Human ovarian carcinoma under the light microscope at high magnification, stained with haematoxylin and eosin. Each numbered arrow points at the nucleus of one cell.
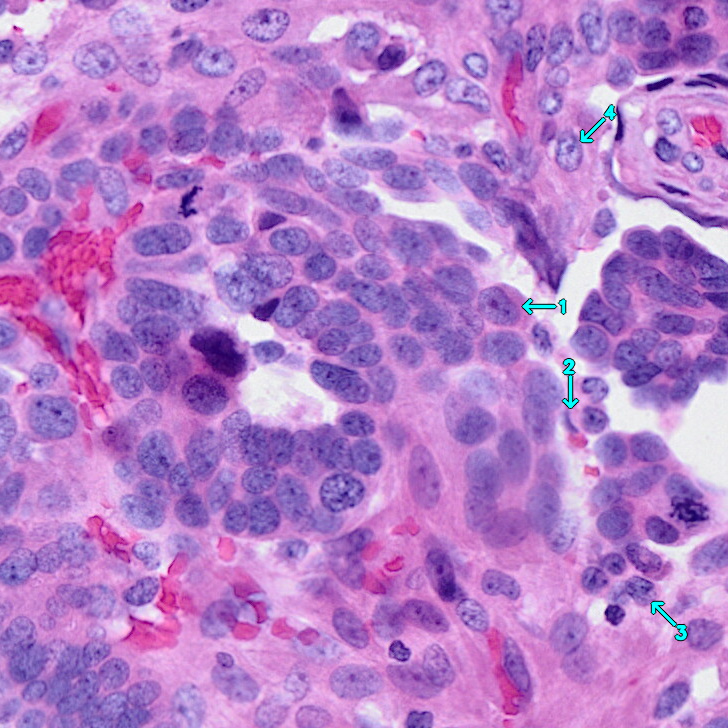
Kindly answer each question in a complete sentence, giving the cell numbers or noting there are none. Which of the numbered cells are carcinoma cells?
Within the set of numbered cells, only number 1 is a carcinoma cell.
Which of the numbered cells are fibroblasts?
Among the marked cells, a fibroblast is found only at number 4.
